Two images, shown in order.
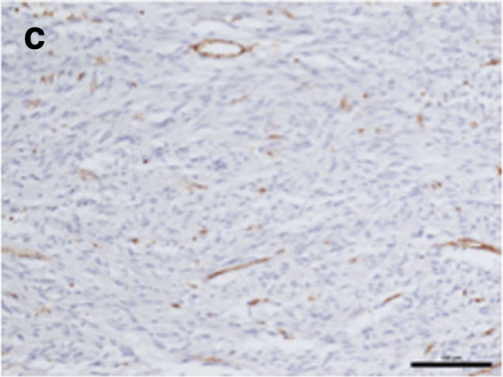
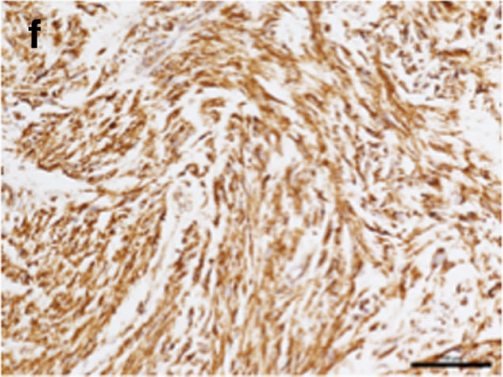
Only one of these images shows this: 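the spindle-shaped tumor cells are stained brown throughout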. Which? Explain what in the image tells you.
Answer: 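The second image. Second image: nearly all spindle cells in the fascicles show strong brown cytoplasmic stain. First image: the spindle cells are blue with no brown stain; only a few thin vessels are brown.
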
